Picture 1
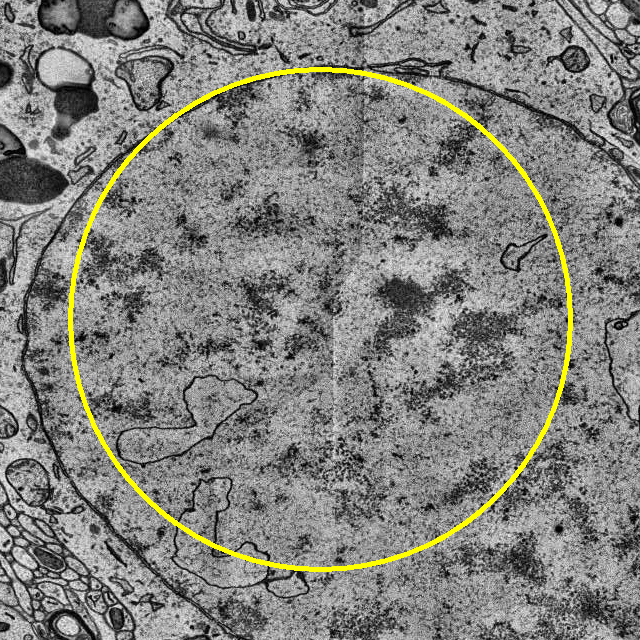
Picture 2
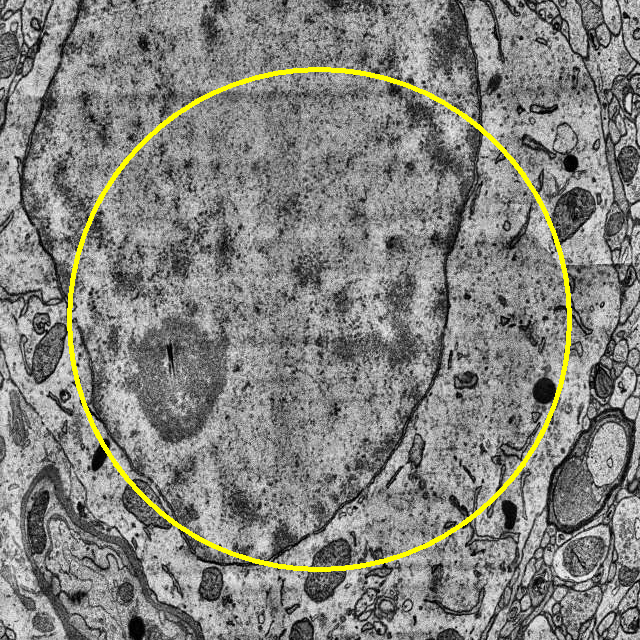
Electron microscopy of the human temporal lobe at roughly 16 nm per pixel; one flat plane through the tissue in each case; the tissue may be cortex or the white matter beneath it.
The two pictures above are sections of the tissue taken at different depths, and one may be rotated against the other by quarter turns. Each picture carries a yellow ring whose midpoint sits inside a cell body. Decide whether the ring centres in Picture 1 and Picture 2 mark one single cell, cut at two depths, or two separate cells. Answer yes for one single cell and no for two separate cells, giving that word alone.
no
